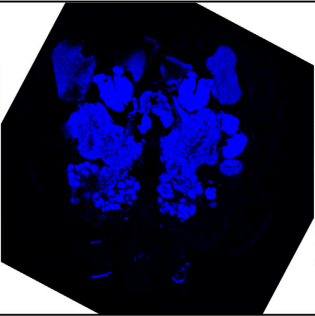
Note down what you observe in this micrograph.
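A section through an insect brain is lit in blue, showing paired neuropil regions arranged symmetrically on either side of the midline. In the upper part sit large, brightly labelled lobed masses on each side, in the position of the mushroom bodies. Below them, on each side, lie clusters of many small rounded units packed together, the glomeruli of the antennal lobes. Dark gaps separate the labelled neuropils, where cell bodies and tracts carry little label.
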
